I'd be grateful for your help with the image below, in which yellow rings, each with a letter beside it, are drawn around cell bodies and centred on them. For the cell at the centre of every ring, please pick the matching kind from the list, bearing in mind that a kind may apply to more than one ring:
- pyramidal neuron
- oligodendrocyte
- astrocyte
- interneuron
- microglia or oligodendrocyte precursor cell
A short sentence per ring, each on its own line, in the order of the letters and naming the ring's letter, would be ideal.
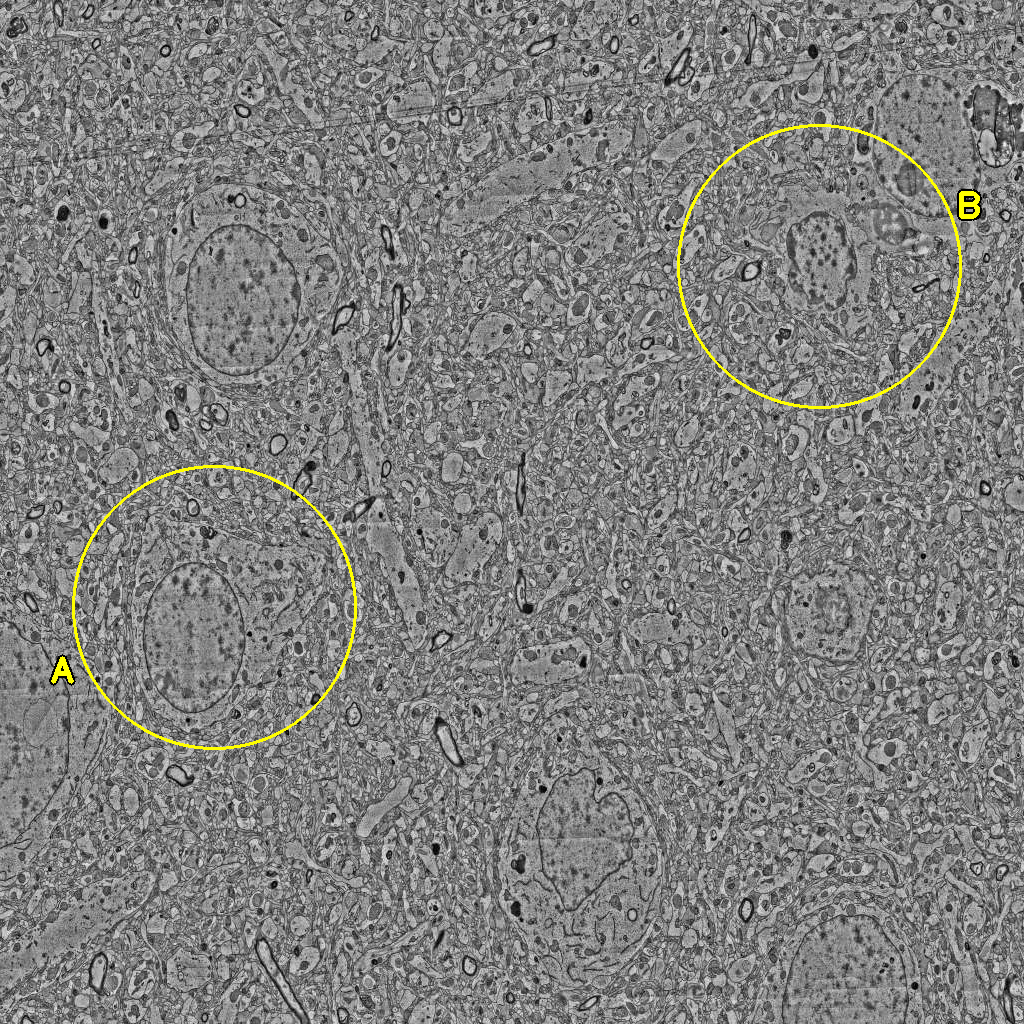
Inside ring A, the central cell is a pyramidal neuron.
Inside ring B, the central cell is an astrocyte.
